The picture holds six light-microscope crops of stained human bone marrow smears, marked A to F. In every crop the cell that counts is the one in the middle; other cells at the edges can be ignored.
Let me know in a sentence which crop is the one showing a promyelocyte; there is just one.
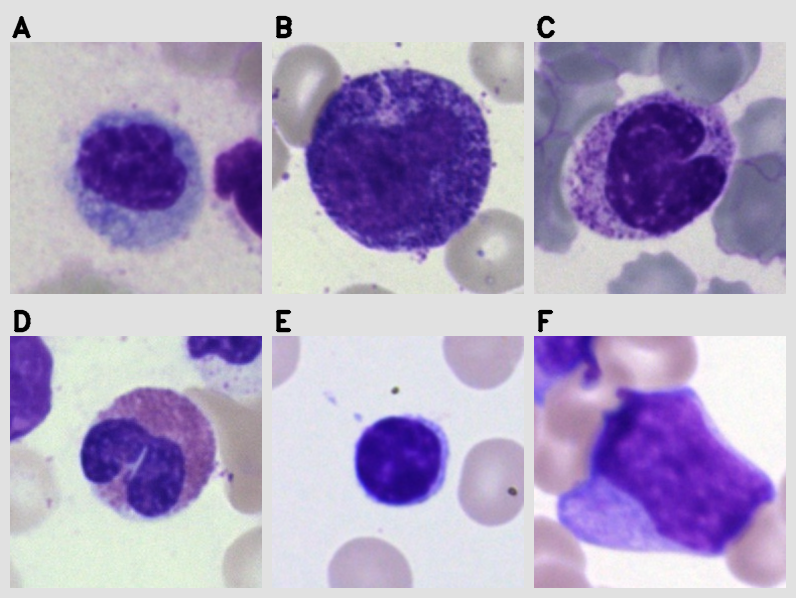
Of the labelled crops, the one that shows a promyelocyte is crop B.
